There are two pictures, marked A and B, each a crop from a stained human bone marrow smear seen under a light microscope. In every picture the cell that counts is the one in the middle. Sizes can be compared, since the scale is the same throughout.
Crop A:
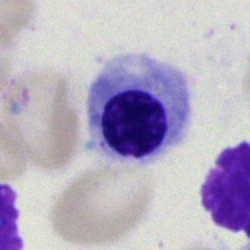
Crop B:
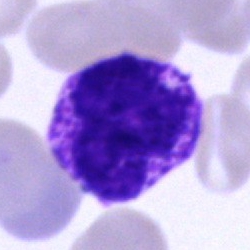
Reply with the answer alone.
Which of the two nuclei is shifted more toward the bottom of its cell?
A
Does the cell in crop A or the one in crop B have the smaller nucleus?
A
